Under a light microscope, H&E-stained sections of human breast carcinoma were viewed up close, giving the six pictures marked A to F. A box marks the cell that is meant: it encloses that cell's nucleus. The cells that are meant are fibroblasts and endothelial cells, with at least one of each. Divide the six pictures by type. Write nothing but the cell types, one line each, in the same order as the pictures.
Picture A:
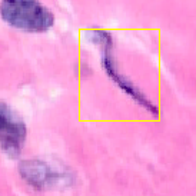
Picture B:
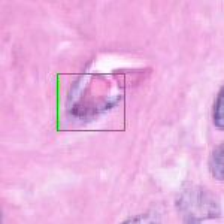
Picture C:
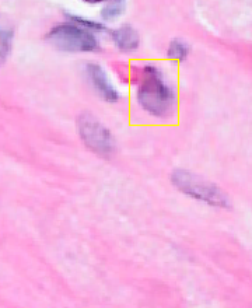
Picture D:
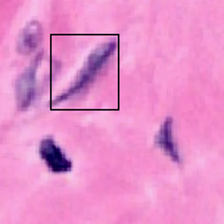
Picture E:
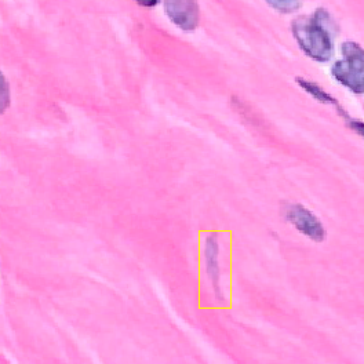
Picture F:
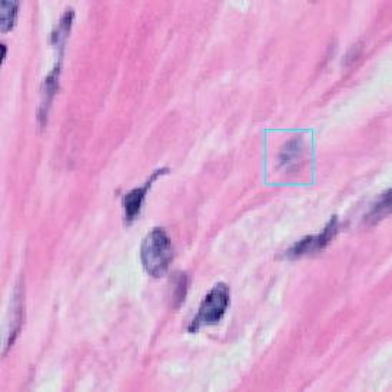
fibroblast
endothelial cell
endothelial cell
fibroblast
fibroblast
fibroblast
